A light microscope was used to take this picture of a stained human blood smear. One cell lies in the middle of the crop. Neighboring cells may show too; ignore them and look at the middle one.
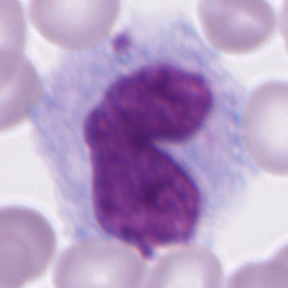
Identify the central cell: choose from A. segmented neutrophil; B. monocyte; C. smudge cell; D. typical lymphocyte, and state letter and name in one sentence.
The one to choose is option B, as the cell in the middle is a monocyte.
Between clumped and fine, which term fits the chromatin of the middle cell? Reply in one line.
The chromatin is delicate and fine, lacking coarse clumping entirely.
